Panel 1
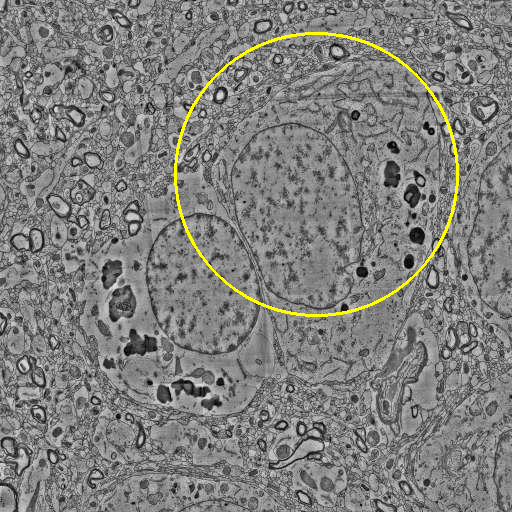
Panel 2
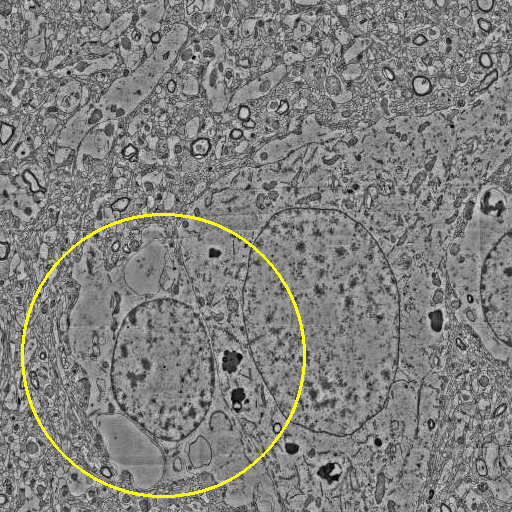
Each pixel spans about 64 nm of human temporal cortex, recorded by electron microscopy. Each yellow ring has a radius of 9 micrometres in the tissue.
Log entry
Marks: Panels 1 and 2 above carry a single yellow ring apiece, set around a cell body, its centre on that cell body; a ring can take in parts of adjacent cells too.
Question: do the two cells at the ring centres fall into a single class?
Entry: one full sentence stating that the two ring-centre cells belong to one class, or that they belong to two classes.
The two ring-centre cells in Panels 1 and 2 belong to two classes.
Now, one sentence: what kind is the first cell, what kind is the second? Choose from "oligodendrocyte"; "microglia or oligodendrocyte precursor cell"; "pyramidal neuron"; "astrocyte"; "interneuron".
The first picture has a pyramidal neuron at its ring centre, and the second has an astrocyte.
